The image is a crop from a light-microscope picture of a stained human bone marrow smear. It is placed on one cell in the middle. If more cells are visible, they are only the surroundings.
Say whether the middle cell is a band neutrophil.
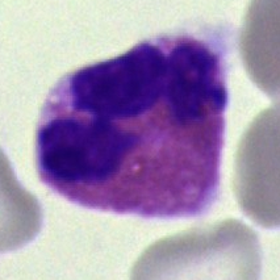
no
